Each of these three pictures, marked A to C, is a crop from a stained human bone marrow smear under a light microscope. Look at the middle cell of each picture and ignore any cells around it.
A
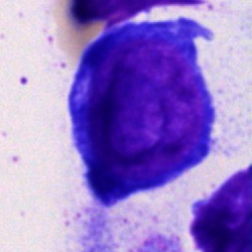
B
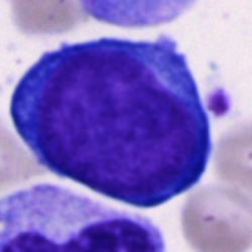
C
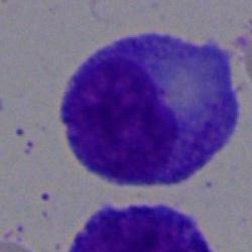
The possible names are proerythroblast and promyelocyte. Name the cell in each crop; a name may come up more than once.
A: proerythroblast
B: proerythroblast
C: promyelocyte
